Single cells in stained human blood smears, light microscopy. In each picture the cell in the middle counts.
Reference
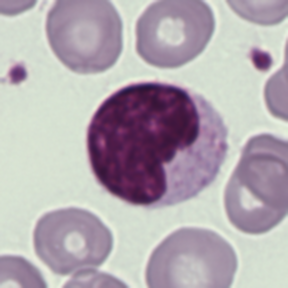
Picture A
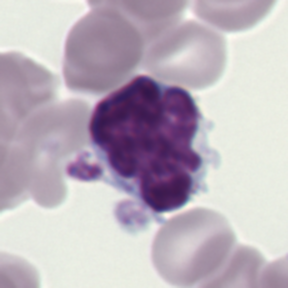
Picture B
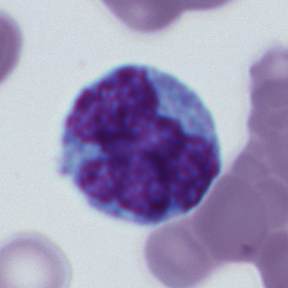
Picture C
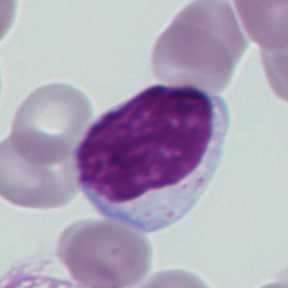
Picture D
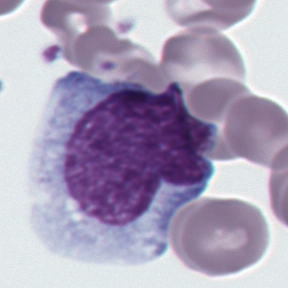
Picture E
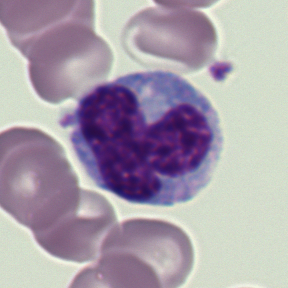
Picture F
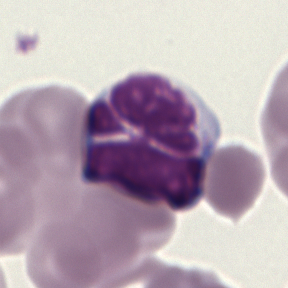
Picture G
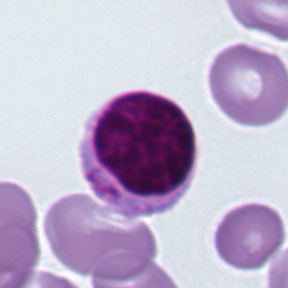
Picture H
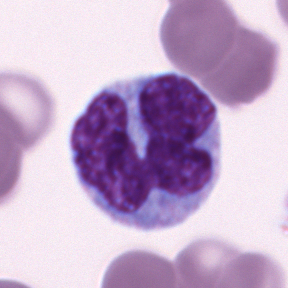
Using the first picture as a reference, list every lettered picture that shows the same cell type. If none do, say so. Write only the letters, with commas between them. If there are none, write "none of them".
A, C, F, G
